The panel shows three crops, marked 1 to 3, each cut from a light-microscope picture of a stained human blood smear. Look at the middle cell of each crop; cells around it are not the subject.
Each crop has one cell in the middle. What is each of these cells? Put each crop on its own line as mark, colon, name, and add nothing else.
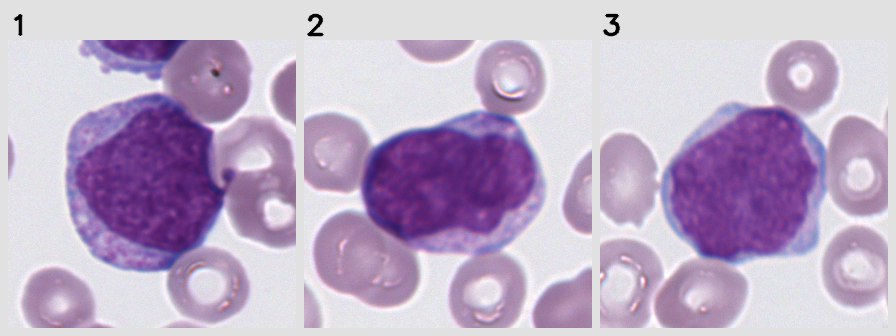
1: promyelocyte
2: atypical promyelocyte
3: myeloblast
